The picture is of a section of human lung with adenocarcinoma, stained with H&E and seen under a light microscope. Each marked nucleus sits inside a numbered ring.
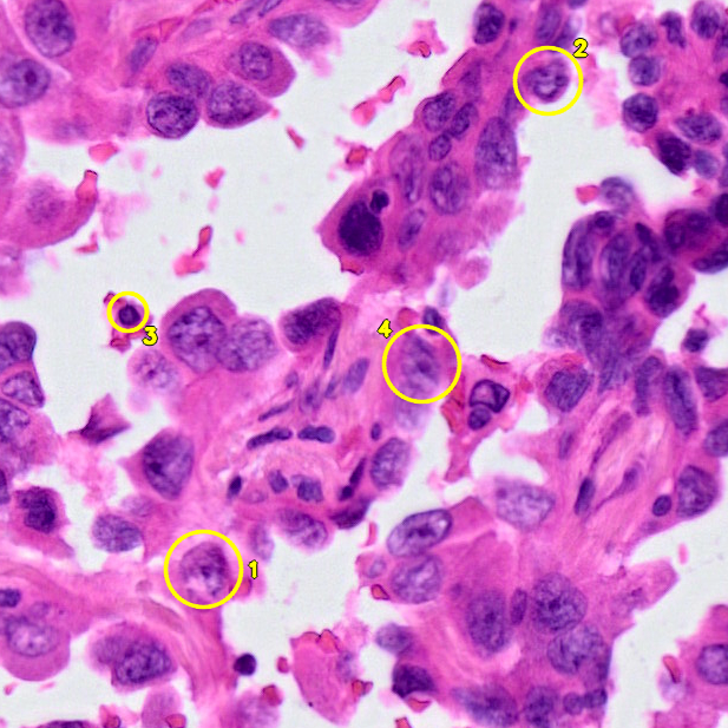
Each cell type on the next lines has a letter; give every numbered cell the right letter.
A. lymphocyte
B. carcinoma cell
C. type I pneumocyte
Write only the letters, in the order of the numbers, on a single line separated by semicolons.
B; B; A; B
